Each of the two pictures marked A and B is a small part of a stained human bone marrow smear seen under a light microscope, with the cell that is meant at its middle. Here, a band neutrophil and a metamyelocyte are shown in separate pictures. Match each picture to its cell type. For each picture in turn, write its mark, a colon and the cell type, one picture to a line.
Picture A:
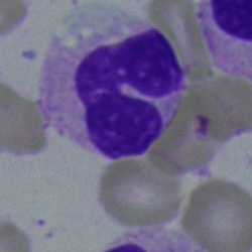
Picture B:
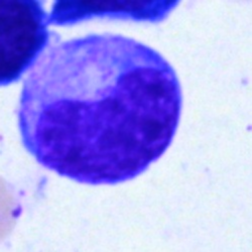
A: band neutrophil
B: metamyelocyte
